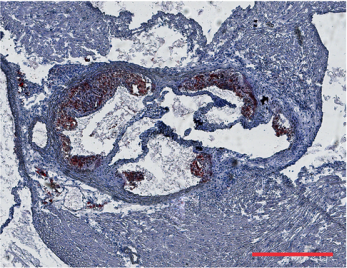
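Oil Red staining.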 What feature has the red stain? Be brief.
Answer: Atherosclerotic plaque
